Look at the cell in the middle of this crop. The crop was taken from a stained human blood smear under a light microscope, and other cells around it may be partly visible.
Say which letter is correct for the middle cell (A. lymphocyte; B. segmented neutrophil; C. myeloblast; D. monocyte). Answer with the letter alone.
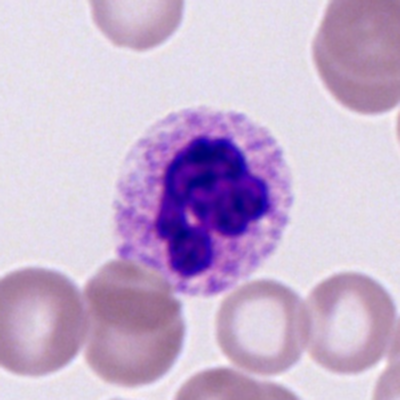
B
